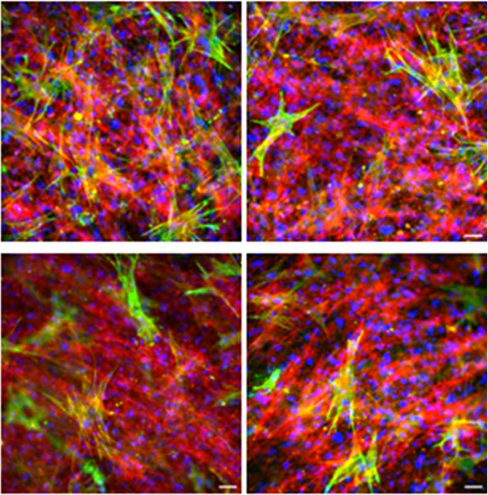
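A subset of cells stands out because they contain thick green fibrillar bundles; these cells are large, elongated or star-shaped, and their fibres often overlap the red ones, appearing yellow-orange. The green-rich cells lie scattered singly or in small clusters among the surrounding cells, which show only red fibres. The cells overlap one another, and individual cell borders are hard to make out.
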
